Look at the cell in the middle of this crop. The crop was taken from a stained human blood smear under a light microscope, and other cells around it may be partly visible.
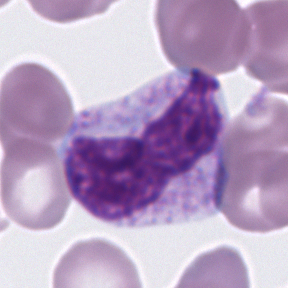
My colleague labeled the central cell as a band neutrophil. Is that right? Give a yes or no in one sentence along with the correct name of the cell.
Yes, placed in the middle of the crop is a band neutrophil.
